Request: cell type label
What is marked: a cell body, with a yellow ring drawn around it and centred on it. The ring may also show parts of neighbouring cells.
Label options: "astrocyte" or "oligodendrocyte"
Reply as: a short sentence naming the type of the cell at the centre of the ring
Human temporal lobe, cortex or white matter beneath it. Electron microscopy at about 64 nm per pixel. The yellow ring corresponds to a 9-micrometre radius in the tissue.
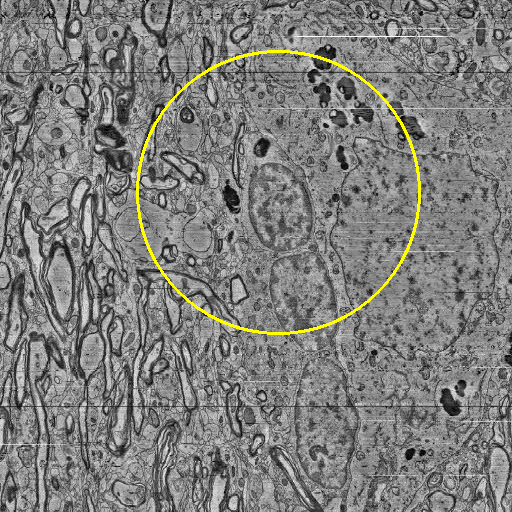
The marked cell body is that of an oligodendrocyte.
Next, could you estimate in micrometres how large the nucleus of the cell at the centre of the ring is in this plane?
In this plane, about 6 micrometres in length and 4 in width.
